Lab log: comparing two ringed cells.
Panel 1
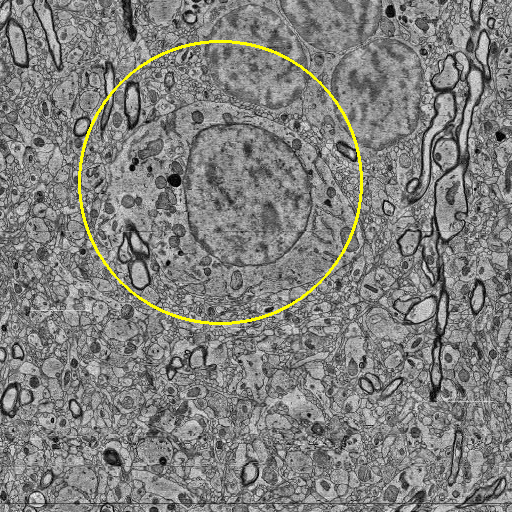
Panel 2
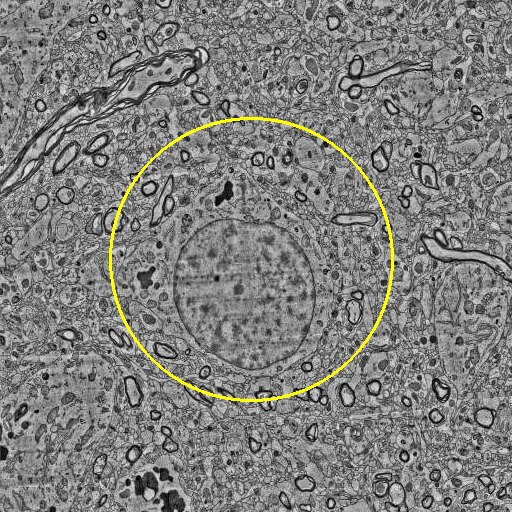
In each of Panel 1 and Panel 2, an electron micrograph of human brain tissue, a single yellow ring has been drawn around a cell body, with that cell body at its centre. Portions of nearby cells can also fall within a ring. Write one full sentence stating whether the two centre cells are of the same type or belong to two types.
The cells at the ring centres in Panel 1 and Panel 2 are of the same type.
